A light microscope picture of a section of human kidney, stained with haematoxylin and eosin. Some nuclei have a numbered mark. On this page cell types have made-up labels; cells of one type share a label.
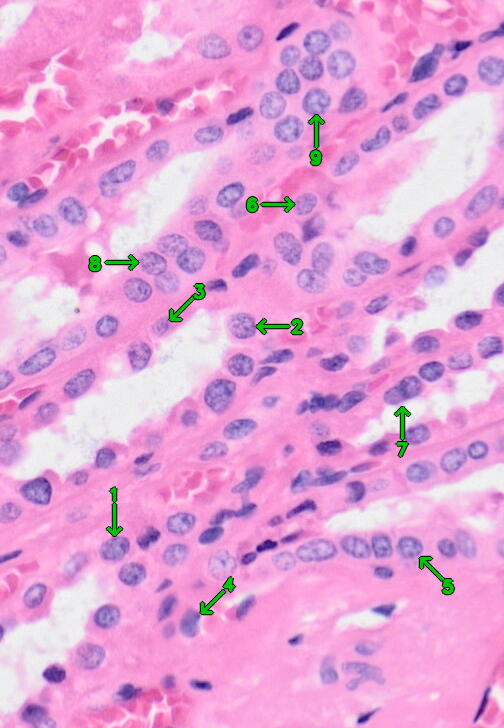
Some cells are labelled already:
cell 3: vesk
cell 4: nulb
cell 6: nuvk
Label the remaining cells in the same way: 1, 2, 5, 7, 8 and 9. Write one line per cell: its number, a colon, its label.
1: vesk
2: vesk
5: nuvk
7: vesk
8: nuvk
9: nuvk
